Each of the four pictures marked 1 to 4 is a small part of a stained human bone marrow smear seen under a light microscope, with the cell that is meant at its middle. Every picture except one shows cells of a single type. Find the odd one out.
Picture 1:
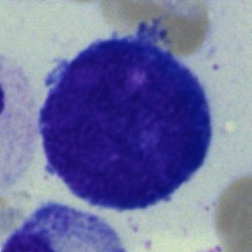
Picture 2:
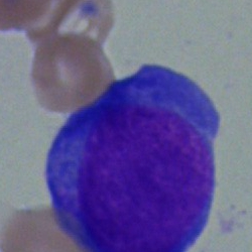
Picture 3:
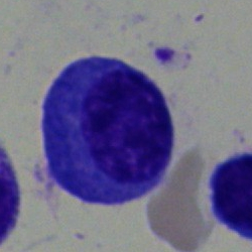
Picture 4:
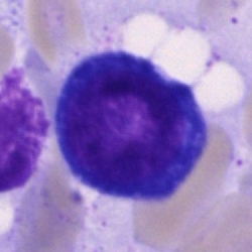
3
